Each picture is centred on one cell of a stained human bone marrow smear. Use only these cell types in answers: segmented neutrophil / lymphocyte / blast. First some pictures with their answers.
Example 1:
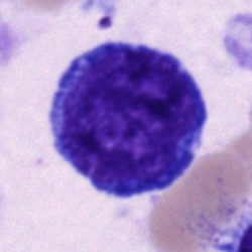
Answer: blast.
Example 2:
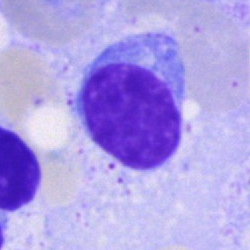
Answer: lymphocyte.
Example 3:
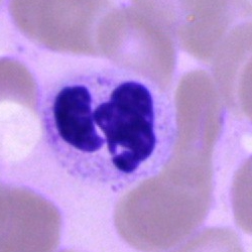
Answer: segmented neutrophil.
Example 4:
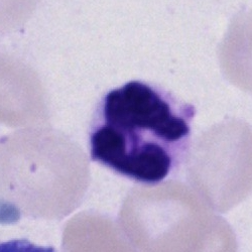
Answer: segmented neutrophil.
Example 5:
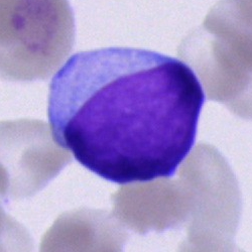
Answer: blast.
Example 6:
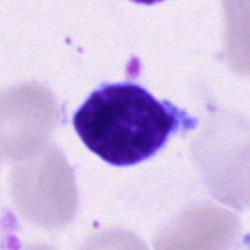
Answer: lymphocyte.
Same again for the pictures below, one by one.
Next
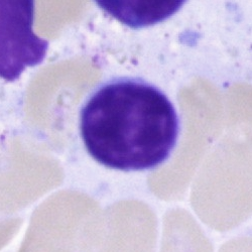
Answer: lymphocyte.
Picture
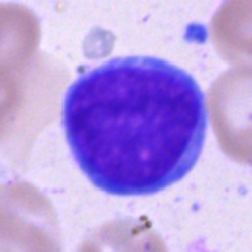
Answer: blast.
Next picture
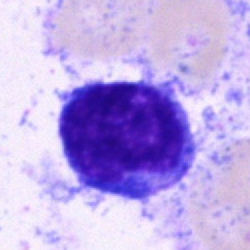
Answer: blast.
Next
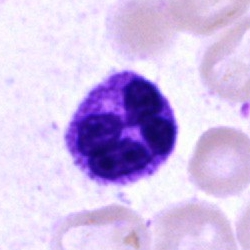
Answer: segmented neutrophil.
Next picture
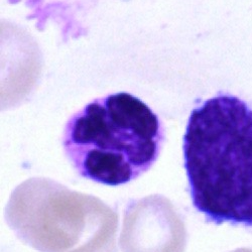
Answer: segmented neutrophil.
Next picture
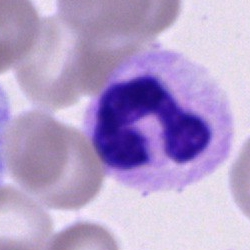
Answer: segmented neutrophil.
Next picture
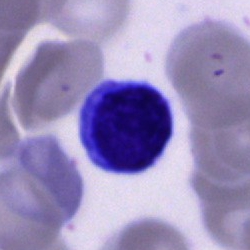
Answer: lymphocyte.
